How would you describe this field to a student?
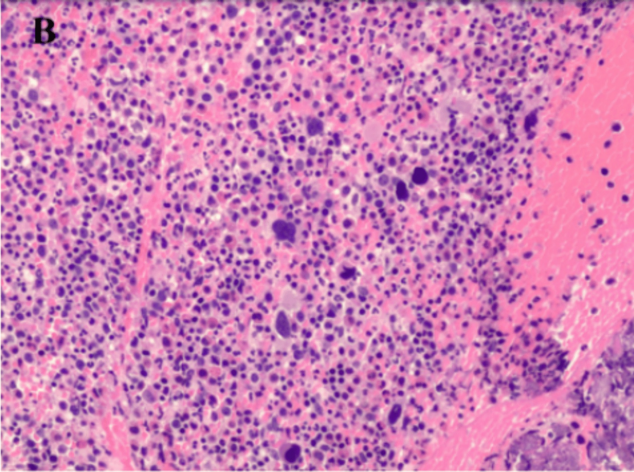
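Hypercellular bone marrow crowded with small hematopoietic cells, among which lie scattered megakaryocytes with dense, dark purple nuclei. A band of pink material runs along the right edge.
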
